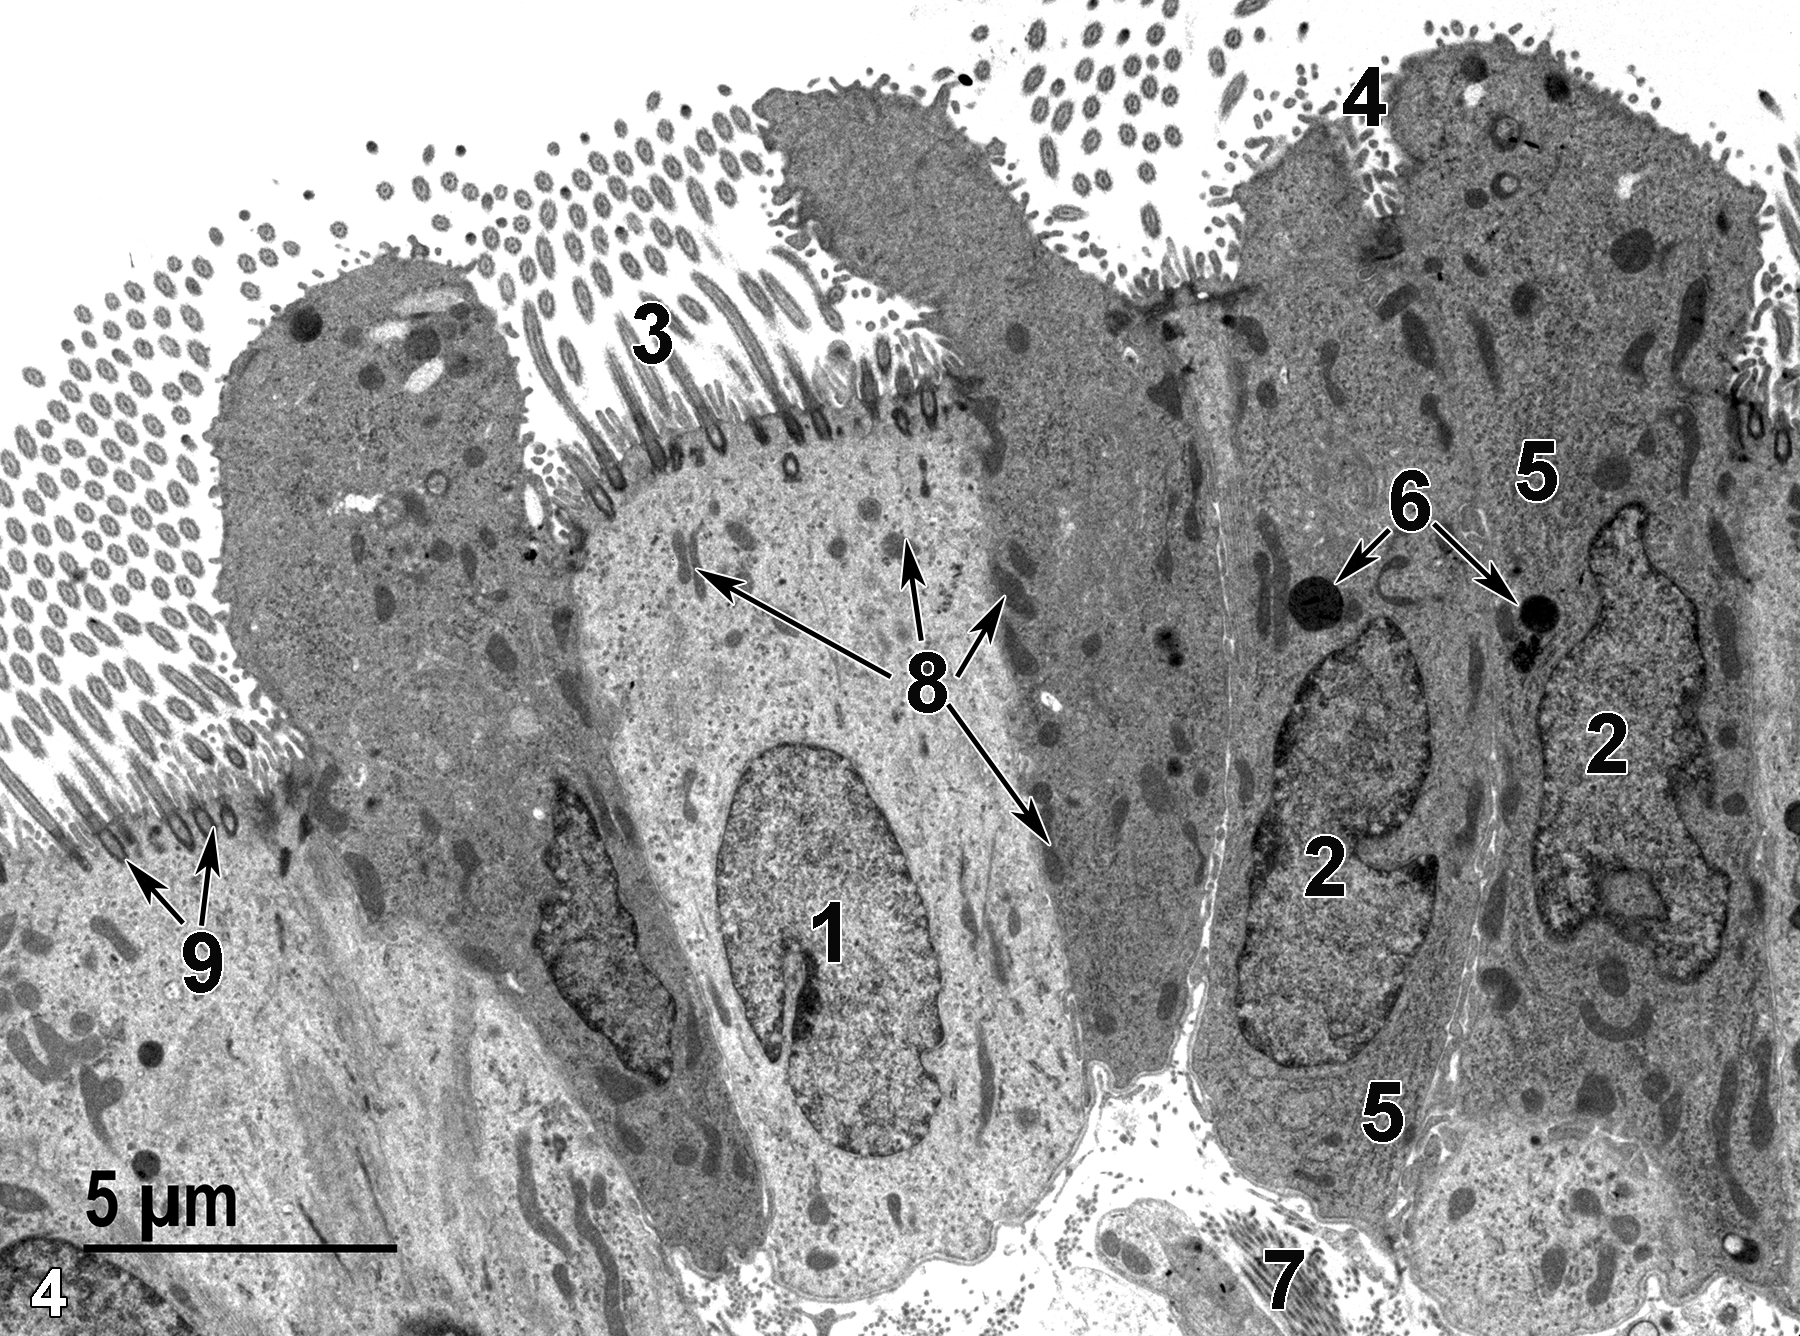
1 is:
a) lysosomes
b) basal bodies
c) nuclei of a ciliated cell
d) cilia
c) nuclei of a ciliated cell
